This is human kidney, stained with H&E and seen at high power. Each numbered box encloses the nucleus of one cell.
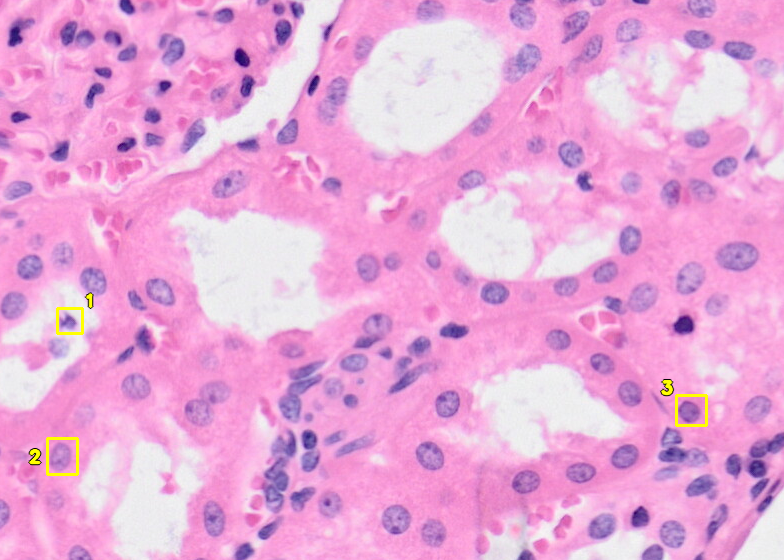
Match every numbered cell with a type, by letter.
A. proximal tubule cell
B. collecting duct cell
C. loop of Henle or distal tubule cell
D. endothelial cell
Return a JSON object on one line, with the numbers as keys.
{"1": "C", "2": "A", "3": "A"}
